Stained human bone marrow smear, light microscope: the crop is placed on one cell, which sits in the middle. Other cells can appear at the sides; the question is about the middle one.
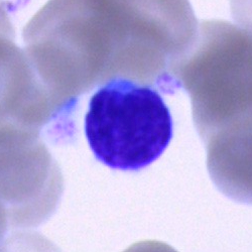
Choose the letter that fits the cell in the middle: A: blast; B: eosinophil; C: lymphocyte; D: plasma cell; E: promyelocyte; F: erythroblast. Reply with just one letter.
C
